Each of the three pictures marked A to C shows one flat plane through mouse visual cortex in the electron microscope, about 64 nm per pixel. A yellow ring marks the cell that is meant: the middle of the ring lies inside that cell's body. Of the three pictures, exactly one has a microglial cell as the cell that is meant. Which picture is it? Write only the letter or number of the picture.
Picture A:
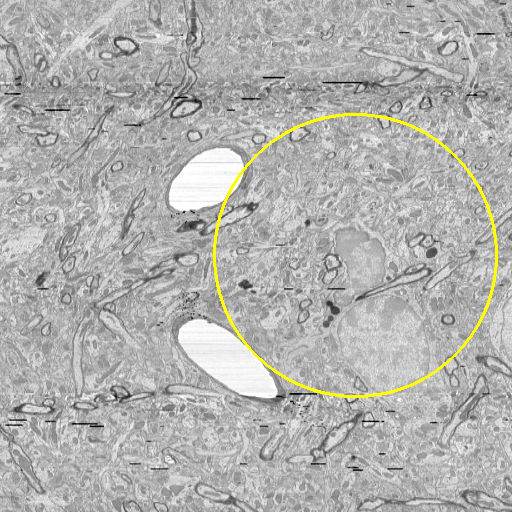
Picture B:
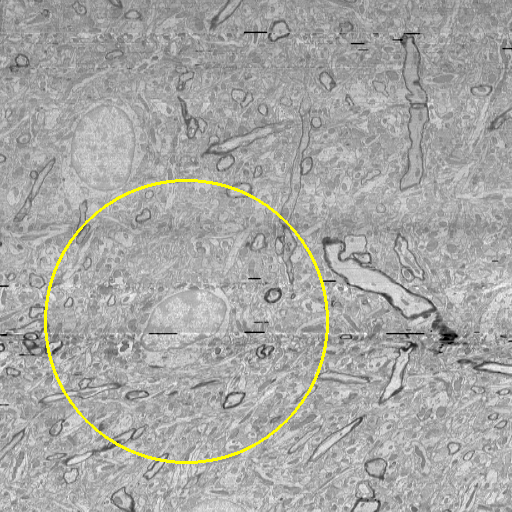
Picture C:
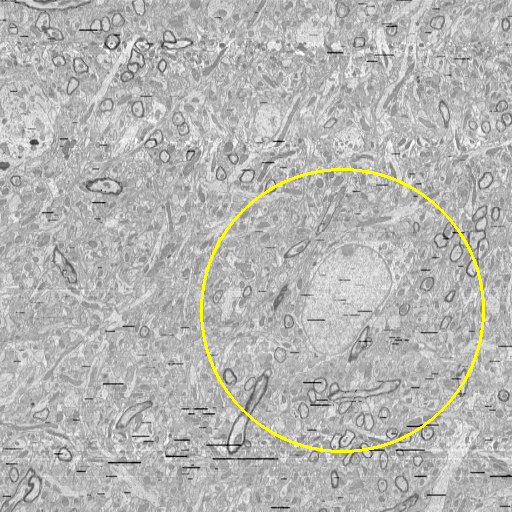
A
